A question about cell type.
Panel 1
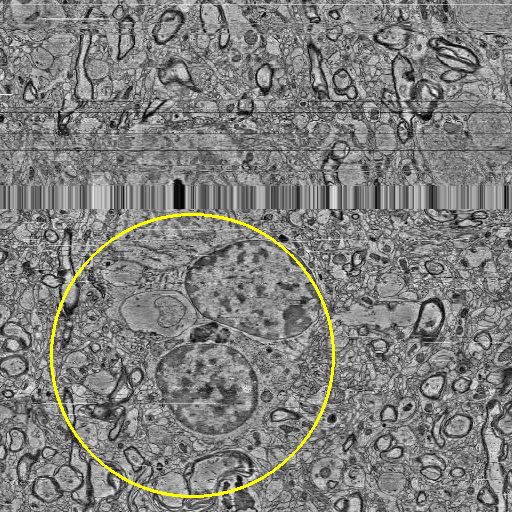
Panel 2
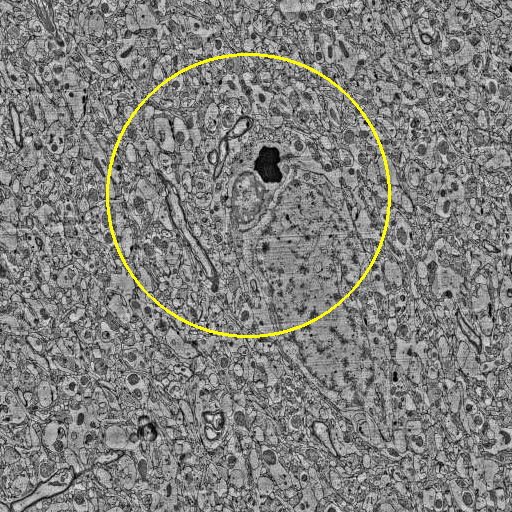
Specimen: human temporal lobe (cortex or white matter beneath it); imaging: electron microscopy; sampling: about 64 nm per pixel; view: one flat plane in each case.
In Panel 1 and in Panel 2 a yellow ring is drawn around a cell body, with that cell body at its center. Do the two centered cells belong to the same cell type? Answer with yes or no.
yes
